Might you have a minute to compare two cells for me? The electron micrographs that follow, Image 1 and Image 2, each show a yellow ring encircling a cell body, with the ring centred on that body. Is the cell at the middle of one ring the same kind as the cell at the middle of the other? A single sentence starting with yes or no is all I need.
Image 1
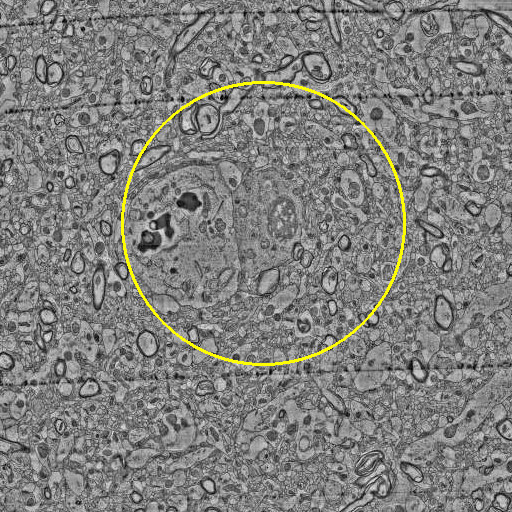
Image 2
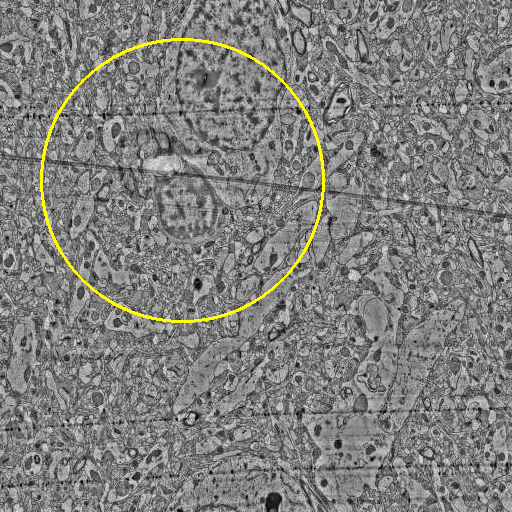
Yes, the cells in the middle of the two rings are of one shared kind.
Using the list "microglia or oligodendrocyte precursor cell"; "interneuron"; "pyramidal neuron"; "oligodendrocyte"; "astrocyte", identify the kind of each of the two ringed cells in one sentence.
The first and the second cell are each an oligodendrocyte.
